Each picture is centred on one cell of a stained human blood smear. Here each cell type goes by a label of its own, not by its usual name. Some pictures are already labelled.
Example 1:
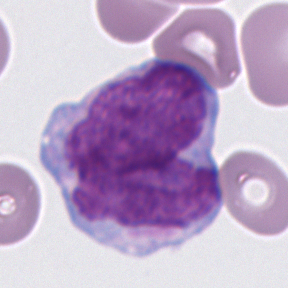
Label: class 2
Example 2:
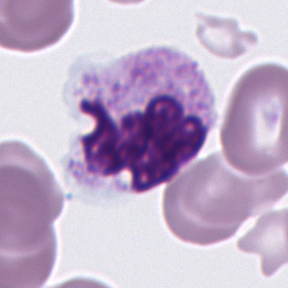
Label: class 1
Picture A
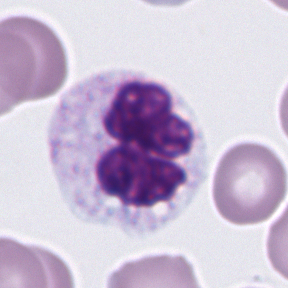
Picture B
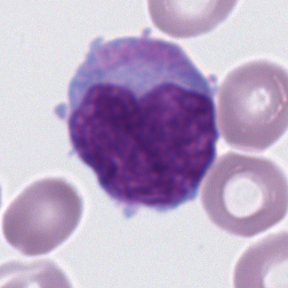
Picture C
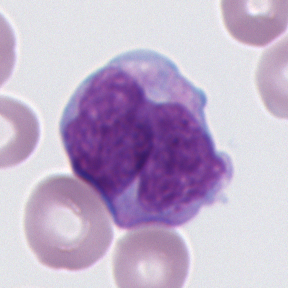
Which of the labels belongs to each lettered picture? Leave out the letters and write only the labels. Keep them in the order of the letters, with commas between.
class 1, class 2, class 2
